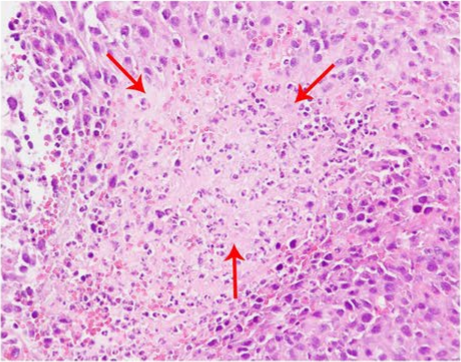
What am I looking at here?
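This is tumor tissue in which a large central area has lost its cellularity and become pale pink and eosinophilic, consistent with necrosis. Within this area only scattered small, dark, condensed nuclei and fragments remain, along with amorphous pink debris. A few red blood cells are also present. Around the pale area lie surviving tumor cells, which have round to oval purple nuclei and pink cytoplasm and are more densely arranged.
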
